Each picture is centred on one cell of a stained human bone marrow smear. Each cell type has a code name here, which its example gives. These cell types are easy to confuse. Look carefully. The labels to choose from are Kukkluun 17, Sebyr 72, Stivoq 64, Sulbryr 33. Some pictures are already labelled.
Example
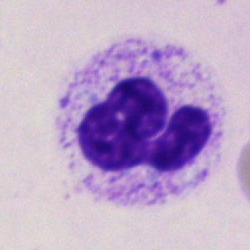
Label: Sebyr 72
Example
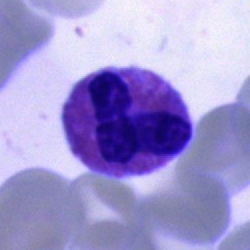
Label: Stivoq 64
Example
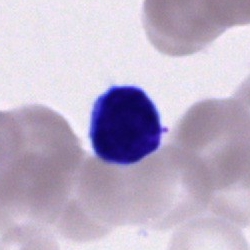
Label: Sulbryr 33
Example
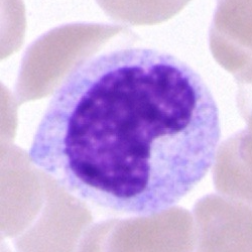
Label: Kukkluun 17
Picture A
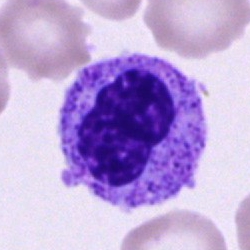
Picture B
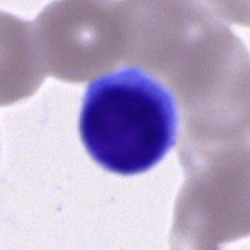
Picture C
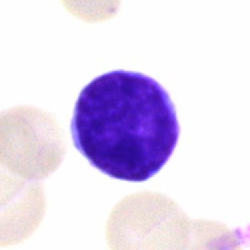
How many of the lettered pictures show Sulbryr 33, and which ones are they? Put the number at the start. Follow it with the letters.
2: B, C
